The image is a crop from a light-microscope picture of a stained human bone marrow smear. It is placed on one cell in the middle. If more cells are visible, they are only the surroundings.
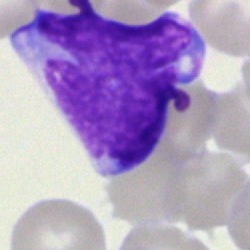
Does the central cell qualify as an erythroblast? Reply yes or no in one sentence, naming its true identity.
No, the central cell isn't an erythroblast, but a blast.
